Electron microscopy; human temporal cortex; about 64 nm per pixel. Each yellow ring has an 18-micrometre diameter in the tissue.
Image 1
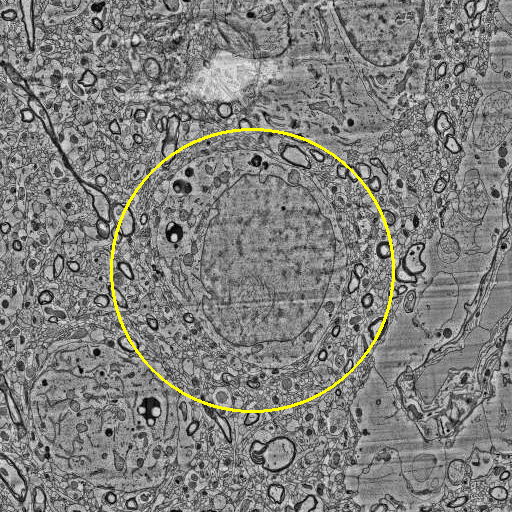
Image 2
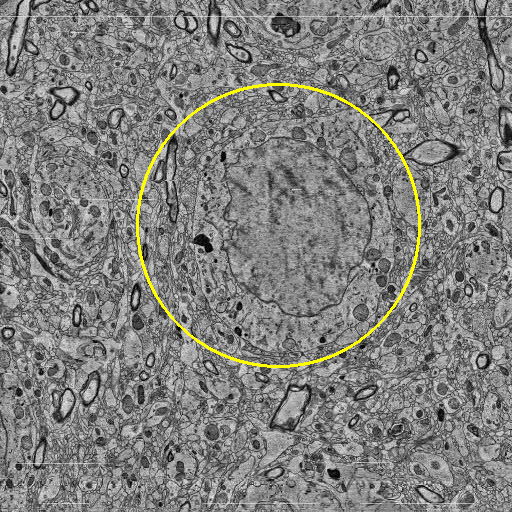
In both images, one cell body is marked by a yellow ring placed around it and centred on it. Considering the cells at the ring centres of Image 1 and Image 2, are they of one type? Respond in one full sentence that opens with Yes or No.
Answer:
Yes, a single type applies to the ring-centred cells of both Image 1 and Image 2.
